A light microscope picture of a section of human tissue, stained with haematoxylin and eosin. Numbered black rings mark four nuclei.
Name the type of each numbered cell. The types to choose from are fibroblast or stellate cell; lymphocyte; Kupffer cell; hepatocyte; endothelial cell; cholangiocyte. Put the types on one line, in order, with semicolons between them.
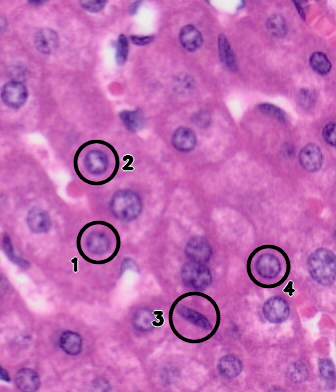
hepatocyte; hepatocyte; fibroblast or stellate cell; hepatocyte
